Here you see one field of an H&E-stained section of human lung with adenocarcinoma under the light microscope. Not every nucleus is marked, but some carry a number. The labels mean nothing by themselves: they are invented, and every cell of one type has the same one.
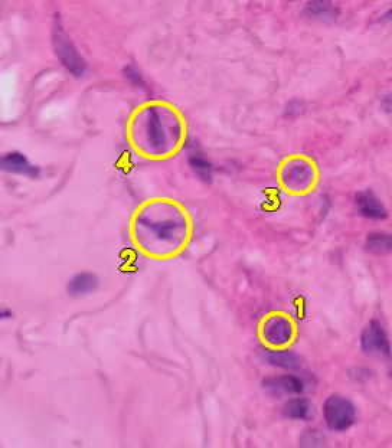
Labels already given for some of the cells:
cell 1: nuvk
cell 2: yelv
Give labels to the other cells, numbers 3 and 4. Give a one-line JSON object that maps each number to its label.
{"3": "nuvk", "4": "nuvk"}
